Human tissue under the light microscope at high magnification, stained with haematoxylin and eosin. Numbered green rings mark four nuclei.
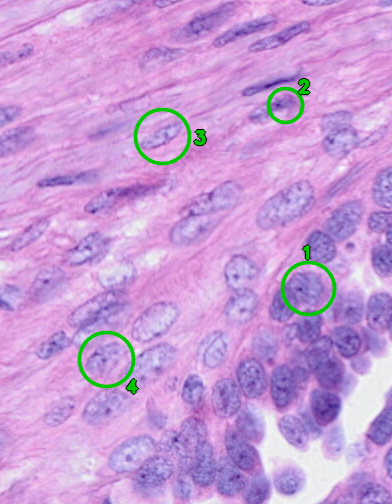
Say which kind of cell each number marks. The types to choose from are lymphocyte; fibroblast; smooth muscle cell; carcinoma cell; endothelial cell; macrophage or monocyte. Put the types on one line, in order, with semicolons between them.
carcinoma cell; fibroblast; fibroblast; fibroblast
